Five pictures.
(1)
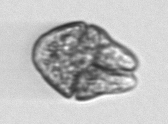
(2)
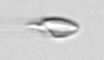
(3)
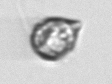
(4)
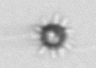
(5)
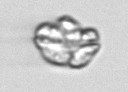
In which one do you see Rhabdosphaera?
In picture 4.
